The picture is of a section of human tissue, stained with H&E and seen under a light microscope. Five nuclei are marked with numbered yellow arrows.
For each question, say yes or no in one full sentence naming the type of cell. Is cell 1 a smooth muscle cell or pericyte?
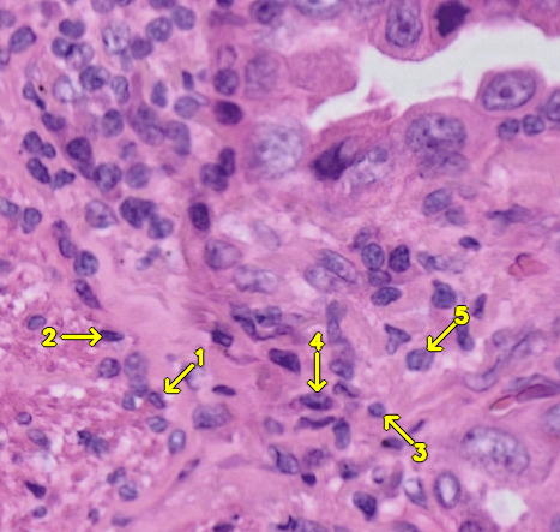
Yes, to put it simply, cell number 1 is a smooth muscle cell or pericyte.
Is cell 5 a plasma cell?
No, it is a lymphocyte, rather than a plasma cell, that carries number 5.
